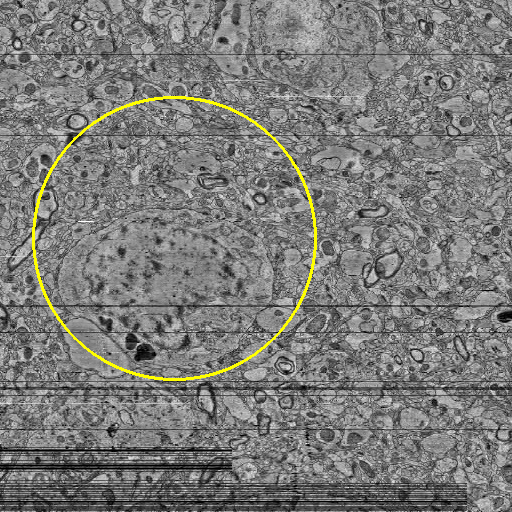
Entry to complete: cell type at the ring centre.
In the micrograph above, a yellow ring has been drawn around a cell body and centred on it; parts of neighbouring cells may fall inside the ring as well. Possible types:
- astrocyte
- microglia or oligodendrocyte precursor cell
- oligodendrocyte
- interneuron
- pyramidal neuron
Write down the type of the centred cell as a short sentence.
The ring is centred on an interneuron.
